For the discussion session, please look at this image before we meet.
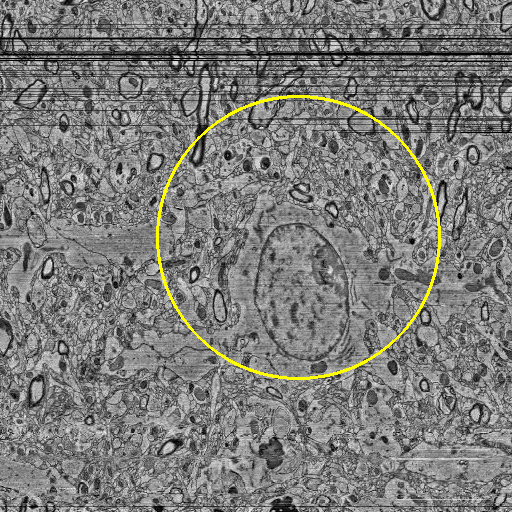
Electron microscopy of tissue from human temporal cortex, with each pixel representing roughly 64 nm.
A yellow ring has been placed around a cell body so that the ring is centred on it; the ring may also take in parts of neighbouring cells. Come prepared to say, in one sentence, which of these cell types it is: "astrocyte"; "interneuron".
The cell centred in the ring is an astrocyte.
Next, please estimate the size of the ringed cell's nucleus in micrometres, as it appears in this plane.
In this plane the nucleus is clearly longer than it is wide: roughly 9 by 6 micrometres.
